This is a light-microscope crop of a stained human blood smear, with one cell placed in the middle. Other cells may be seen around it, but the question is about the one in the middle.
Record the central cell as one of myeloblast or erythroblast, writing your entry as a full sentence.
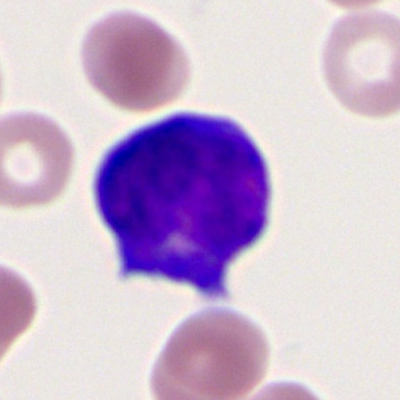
Seen at the centre of the crop is a myeloblast.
